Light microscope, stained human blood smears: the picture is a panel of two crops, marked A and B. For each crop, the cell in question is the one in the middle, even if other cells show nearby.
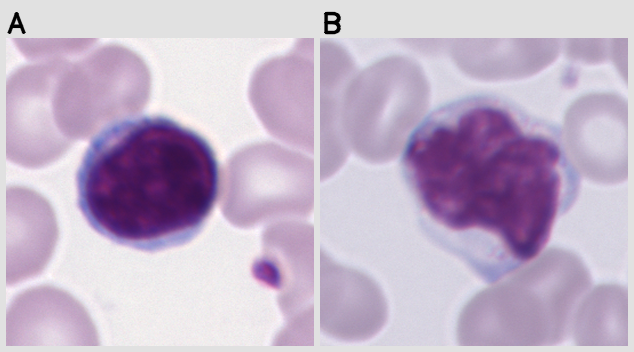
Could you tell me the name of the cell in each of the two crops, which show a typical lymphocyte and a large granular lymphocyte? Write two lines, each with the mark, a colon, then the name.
A: typical lymphocyte
B: large granular lymphocyte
